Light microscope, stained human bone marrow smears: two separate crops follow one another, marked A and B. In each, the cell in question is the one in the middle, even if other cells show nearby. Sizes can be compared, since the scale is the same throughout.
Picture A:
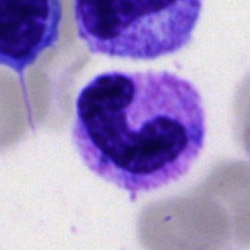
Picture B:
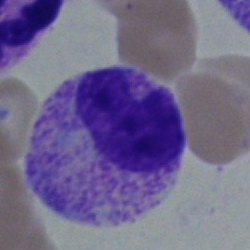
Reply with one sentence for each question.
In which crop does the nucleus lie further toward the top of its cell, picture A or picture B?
It is the nucleus in picture B that lies further toward the top of its cell.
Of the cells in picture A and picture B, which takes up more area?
Larger is the cell in picture B, at roughly 1.5 times the area of the other.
